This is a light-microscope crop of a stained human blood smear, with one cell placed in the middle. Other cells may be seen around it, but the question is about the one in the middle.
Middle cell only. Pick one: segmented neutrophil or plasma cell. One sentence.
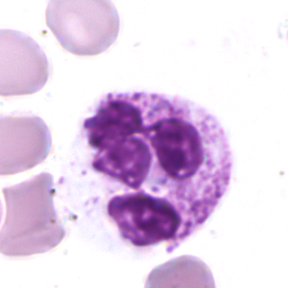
The cell around which this crop is centred is a segmented neutrophil.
